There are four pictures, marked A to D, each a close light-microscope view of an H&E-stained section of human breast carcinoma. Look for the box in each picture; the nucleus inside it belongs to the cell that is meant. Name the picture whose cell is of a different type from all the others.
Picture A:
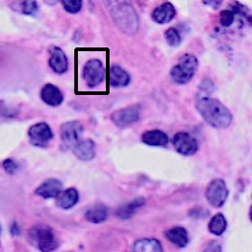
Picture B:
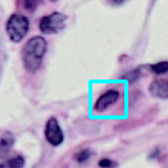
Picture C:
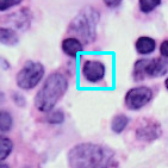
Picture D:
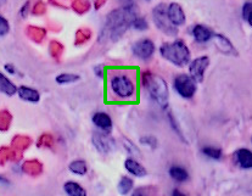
D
